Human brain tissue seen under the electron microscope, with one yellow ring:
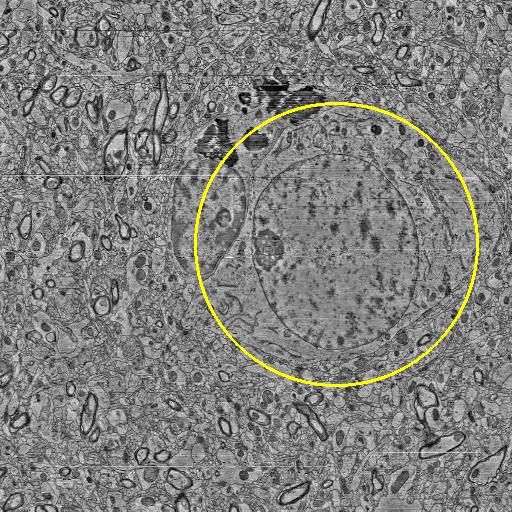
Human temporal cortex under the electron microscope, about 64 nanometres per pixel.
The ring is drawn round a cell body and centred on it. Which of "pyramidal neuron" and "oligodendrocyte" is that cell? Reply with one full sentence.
The picture shows a pyramidal neuron at the very centre of the yellow ring.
